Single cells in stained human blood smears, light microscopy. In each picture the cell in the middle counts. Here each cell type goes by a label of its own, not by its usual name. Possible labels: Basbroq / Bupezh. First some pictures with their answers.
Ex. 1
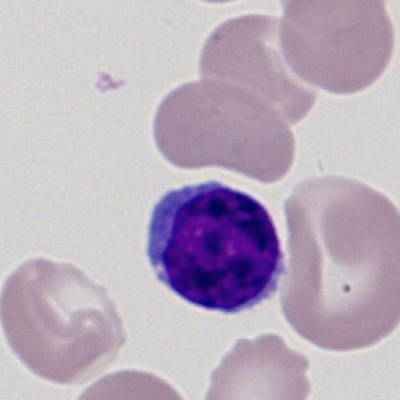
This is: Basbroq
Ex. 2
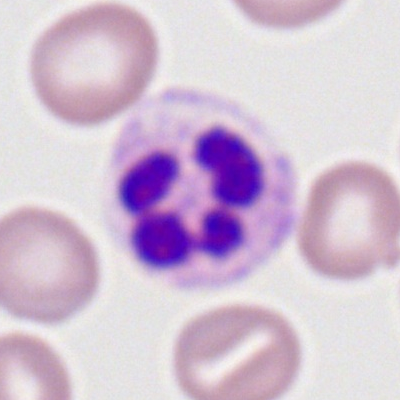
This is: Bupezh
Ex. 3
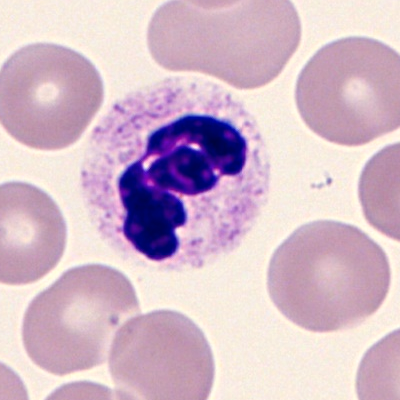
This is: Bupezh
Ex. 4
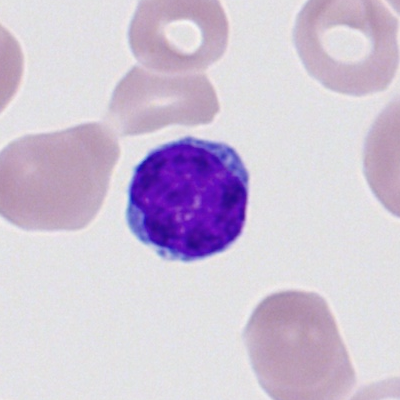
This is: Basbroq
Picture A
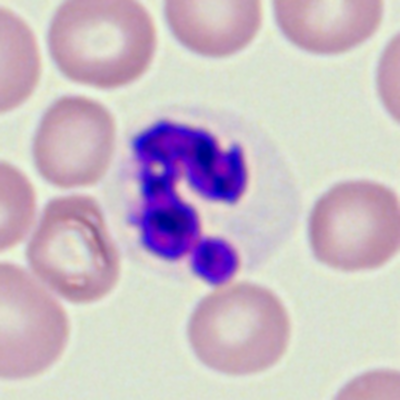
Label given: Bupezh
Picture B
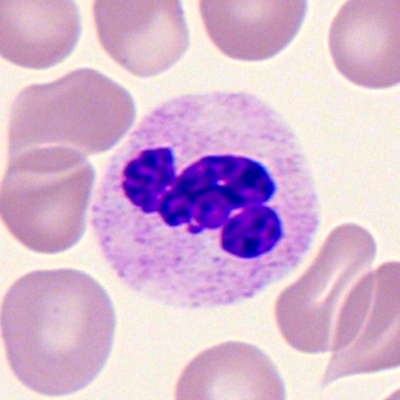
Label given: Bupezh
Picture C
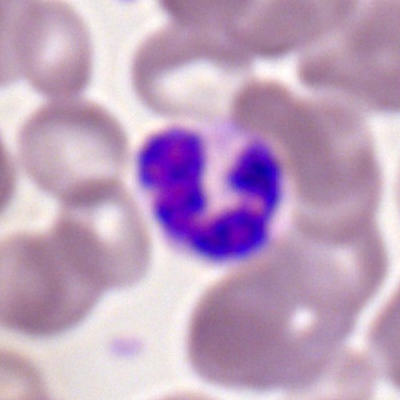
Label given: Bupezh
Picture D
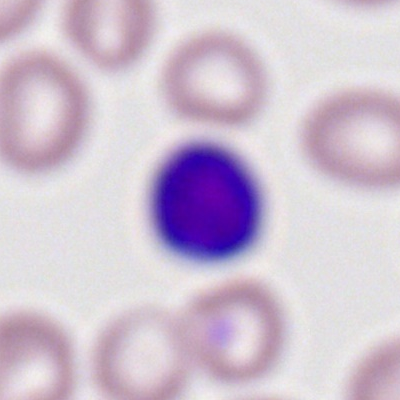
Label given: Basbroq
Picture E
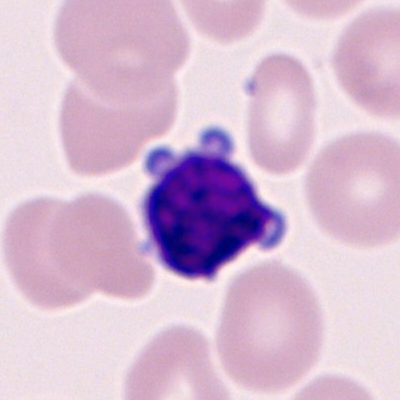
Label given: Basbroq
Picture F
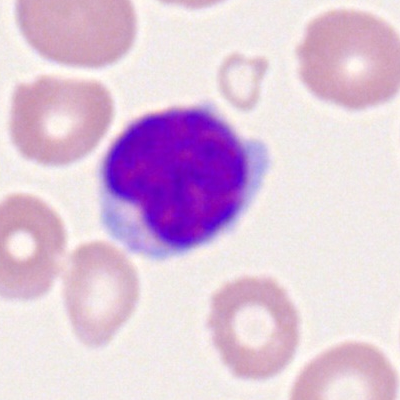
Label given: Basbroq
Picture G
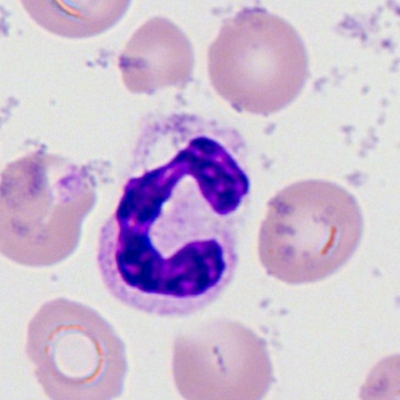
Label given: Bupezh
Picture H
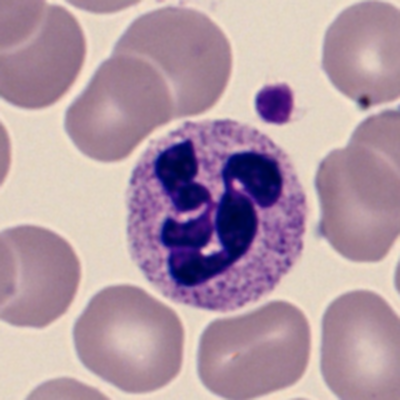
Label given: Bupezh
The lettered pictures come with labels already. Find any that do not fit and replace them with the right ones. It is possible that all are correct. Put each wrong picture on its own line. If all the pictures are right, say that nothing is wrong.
All correct.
